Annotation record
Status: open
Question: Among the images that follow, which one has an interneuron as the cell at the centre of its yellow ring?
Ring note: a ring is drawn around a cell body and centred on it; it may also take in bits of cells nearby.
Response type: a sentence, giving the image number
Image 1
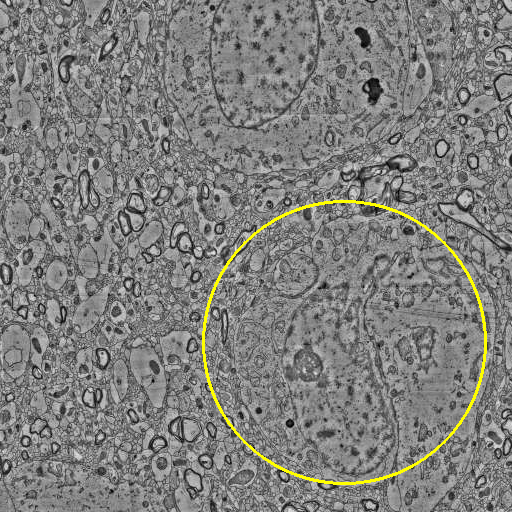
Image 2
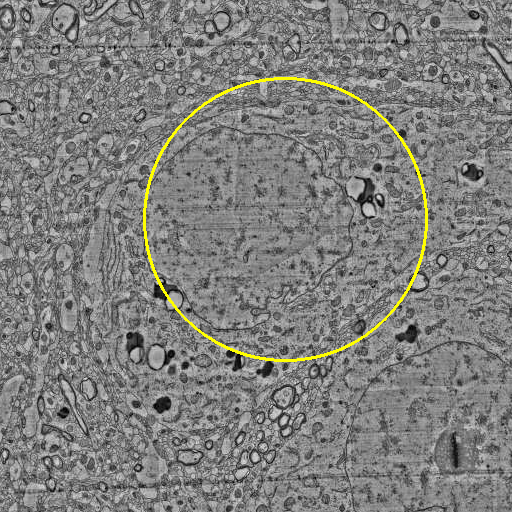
Image 1 shows it at the centre of its ring.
